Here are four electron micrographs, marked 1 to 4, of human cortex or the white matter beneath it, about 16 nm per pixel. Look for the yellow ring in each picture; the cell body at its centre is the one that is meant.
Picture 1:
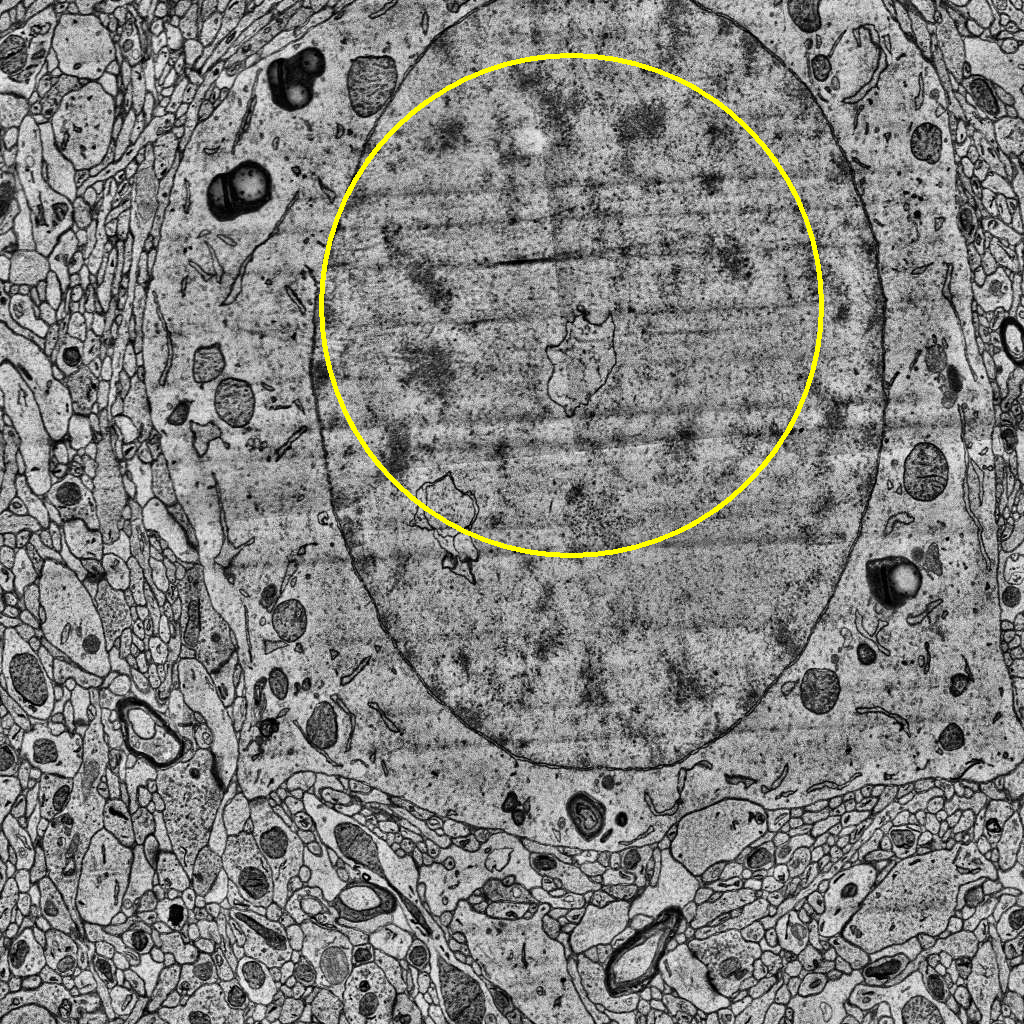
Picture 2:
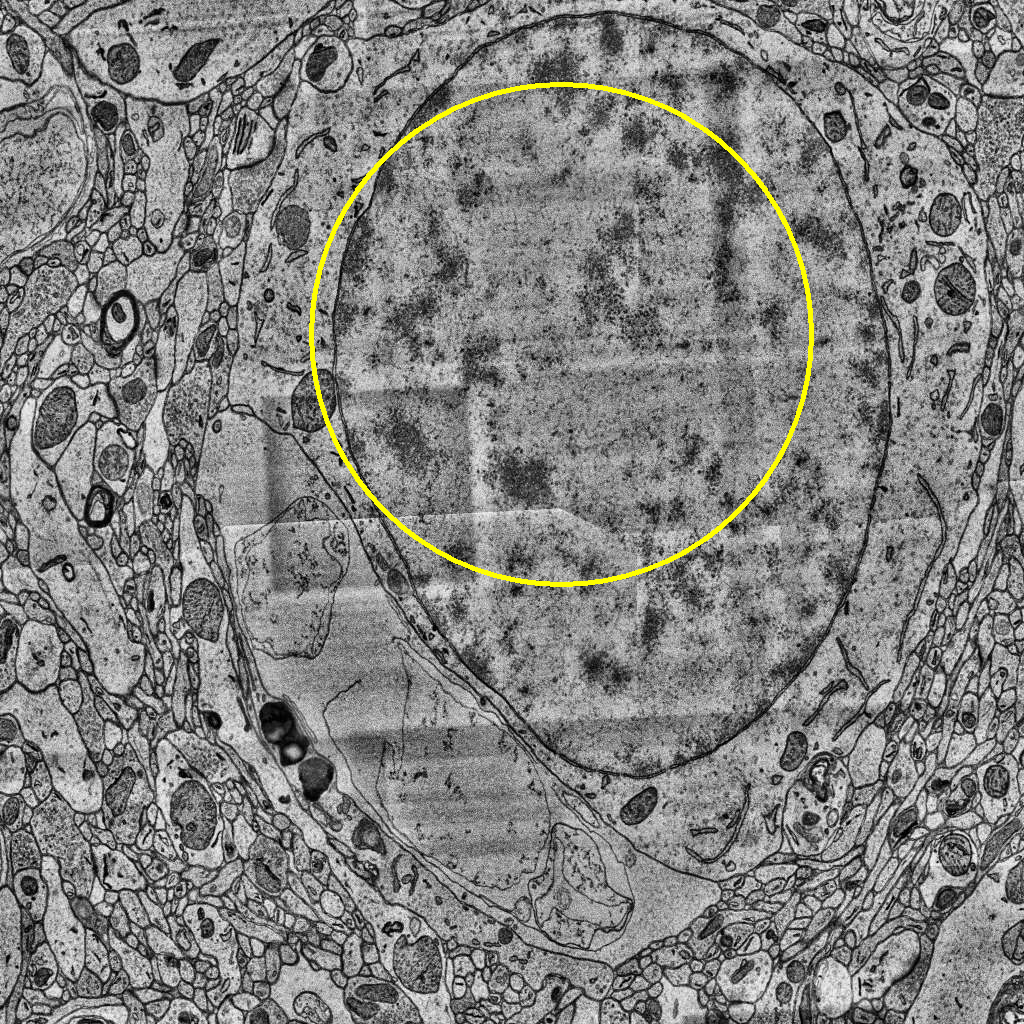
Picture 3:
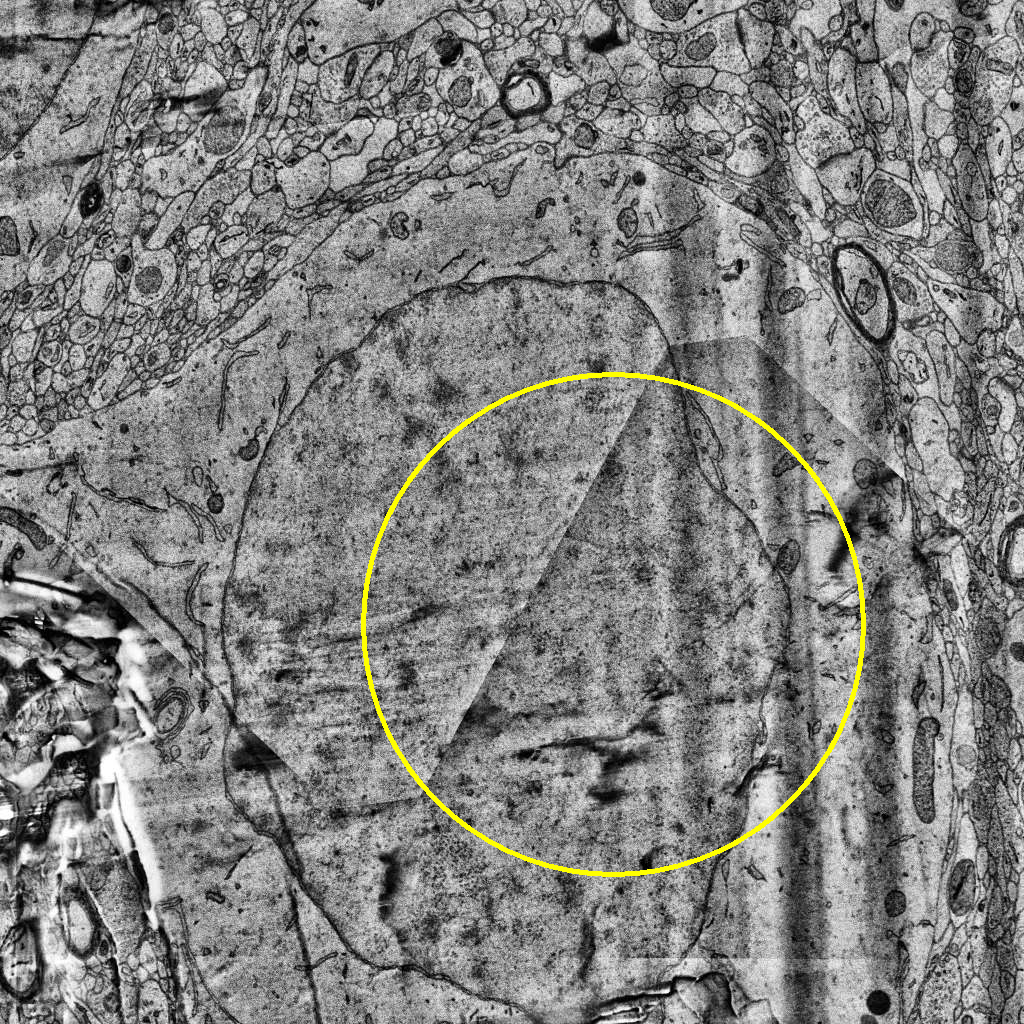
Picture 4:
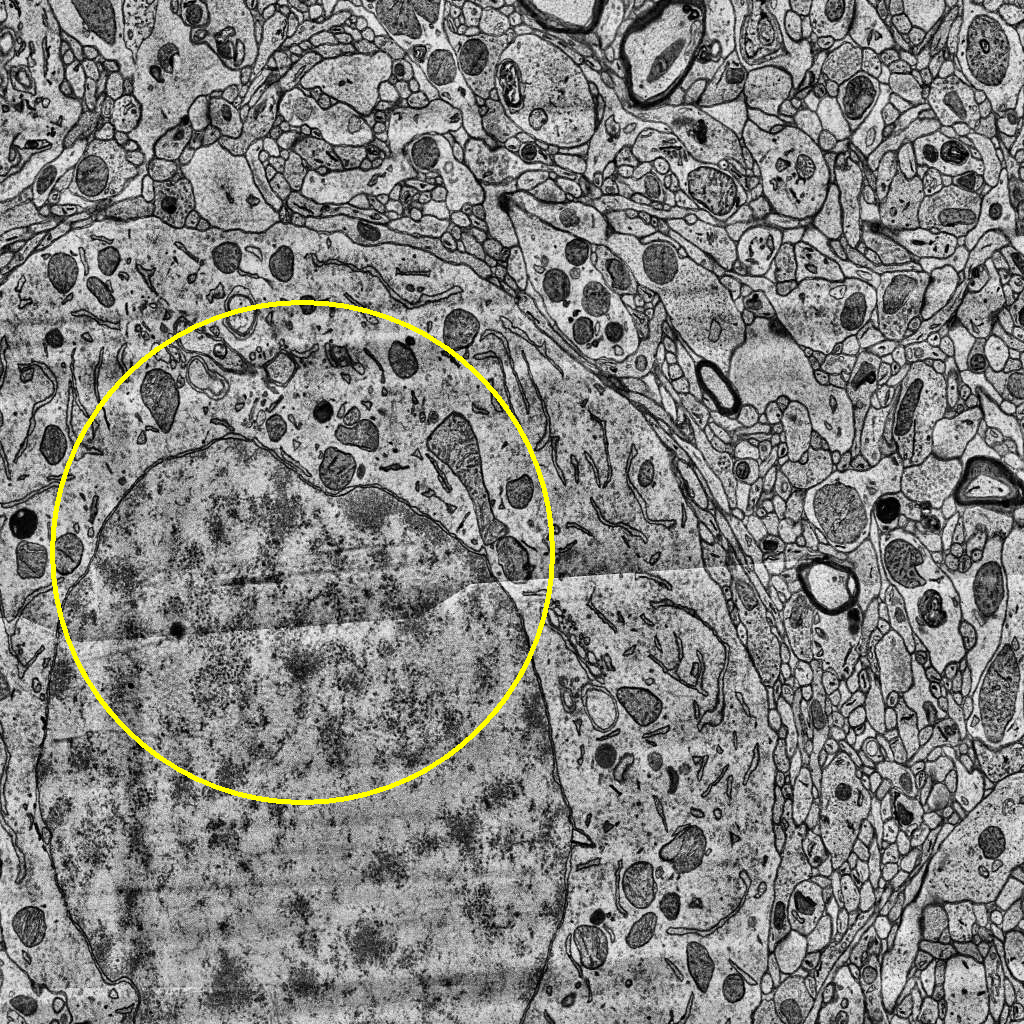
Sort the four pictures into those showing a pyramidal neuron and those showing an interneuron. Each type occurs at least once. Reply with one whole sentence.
Pictures 1, 2 and 3 show pyramidal neurons; picture 4 shows an interneuron.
